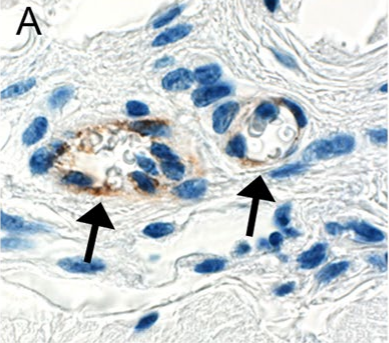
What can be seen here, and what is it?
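Connective tissue containing two small blood vessels cut in cross-section, each with a lumen holding red blood cells. The red blood cells appear as small pale round discs without nuclei. The vessel walls are formed by cells with oval to elongated dark blue nuclei, and a brown deposit rings the walls of both vessels. Around the vessels lie scattered cells with spindle-shaped or oval blue nuclei in a pale, loosely fibrous matrix.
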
